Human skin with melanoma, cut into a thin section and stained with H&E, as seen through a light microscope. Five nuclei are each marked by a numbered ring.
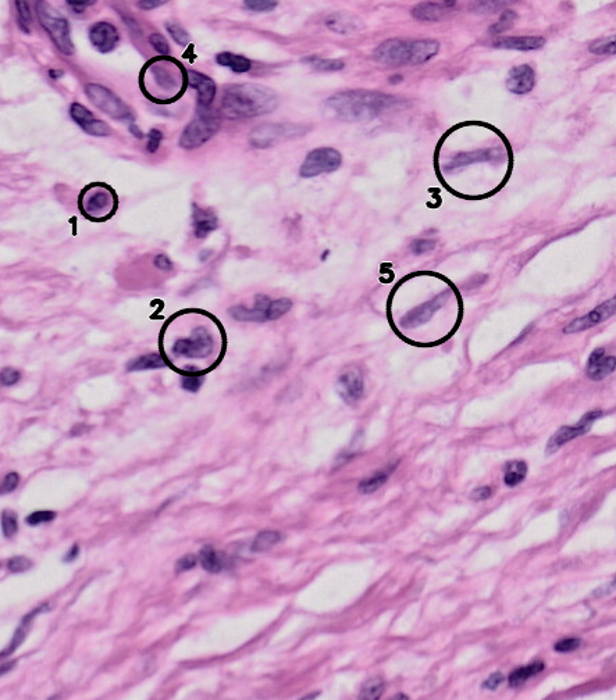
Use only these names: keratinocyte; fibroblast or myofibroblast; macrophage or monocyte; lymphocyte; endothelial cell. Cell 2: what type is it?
macrophage or monocyte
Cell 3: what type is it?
fibroblast or myofibroblast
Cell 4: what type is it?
endothelial cell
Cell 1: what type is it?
macrophage or monocyte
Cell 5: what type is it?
fibroblast or myofibroblast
